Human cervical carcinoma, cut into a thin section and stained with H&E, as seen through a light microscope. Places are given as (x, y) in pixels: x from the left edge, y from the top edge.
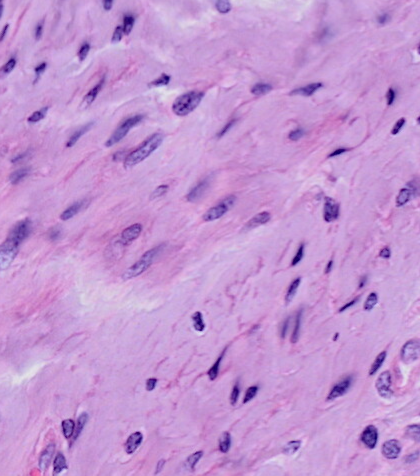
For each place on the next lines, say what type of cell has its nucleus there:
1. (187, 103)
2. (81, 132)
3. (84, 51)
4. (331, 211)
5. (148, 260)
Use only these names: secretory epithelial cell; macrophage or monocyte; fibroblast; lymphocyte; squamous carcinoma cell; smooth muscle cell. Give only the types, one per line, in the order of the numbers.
macrophage or monocyte
fibroblast
fibroblast
fibroblast
smooth muscle cell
